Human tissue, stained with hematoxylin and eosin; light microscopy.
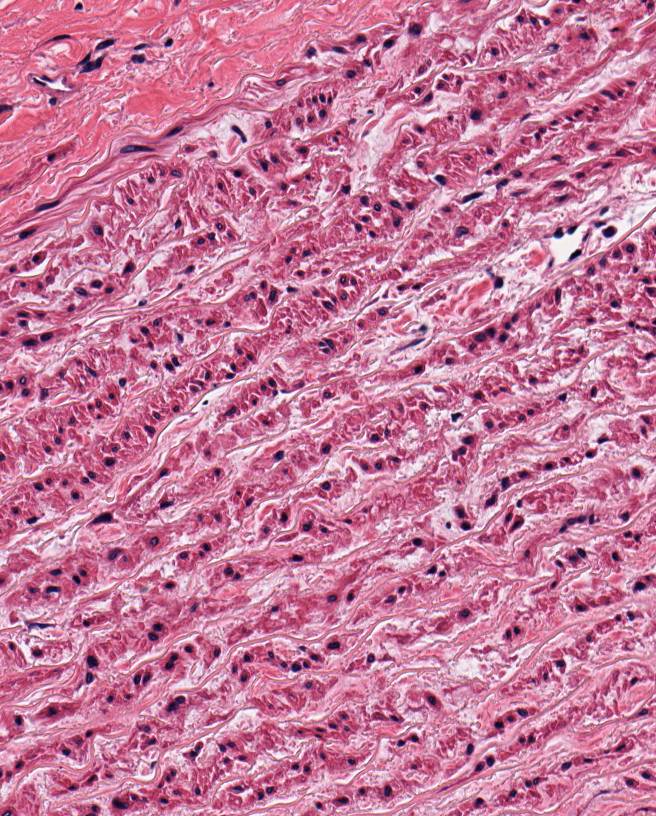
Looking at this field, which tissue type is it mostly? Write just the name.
tunica media of an artery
